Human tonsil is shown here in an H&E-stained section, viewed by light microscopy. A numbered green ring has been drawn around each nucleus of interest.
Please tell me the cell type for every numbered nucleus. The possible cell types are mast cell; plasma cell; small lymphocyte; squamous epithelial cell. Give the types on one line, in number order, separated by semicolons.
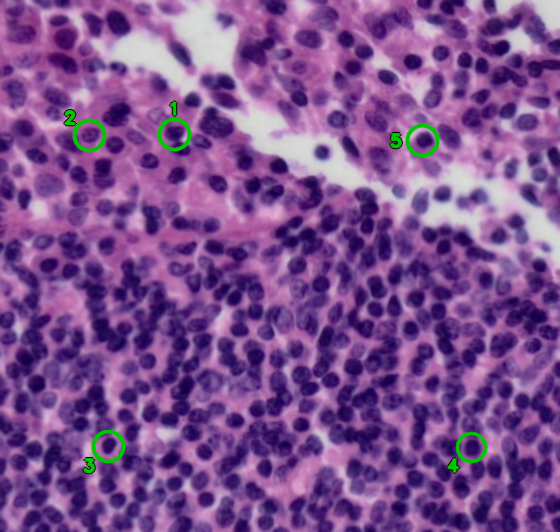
plasma cell; plasma cell; small lymphocyte; small lymphocyte; plasma cell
